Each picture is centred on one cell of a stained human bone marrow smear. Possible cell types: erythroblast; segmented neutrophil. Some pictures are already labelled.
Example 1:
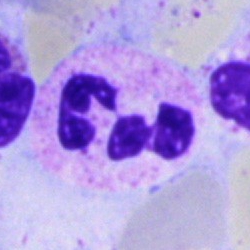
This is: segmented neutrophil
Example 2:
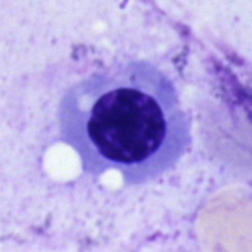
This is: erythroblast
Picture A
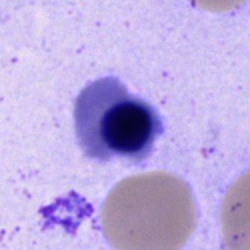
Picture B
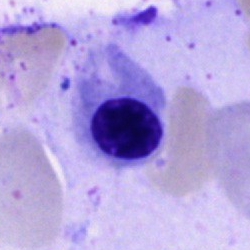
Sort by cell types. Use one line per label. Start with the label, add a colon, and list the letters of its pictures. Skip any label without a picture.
erythroblast: A, B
